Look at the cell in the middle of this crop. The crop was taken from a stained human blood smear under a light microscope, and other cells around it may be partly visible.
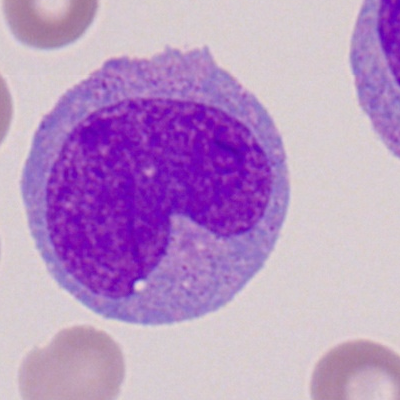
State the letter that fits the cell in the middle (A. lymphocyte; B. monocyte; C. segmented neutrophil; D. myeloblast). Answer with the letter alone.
D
